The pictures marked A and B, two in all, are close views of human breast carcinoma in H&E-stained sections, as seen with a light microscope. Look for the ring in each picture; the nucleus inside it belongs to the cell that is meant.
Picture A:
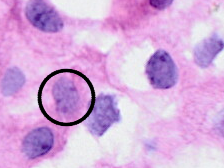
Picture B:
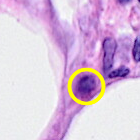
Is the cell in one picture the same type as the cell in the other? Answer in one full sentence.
No, they differ: the cell is a carcinoma cell in picture A and a mast cell in picture B.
